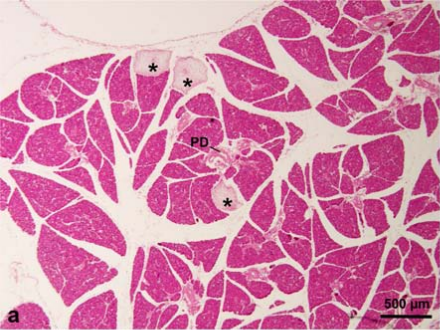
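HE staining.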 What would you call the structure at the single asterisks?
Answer: Pacinian corpuscles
